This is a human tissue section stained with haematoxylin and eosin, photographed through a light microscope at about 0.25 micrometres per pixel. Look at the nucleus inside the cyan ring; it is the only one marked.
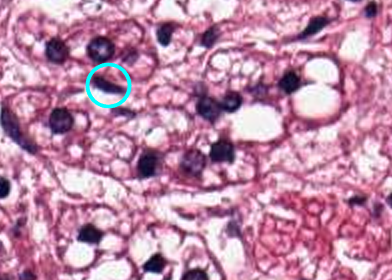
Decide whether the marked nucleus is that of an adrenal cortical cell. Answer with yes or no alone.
no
